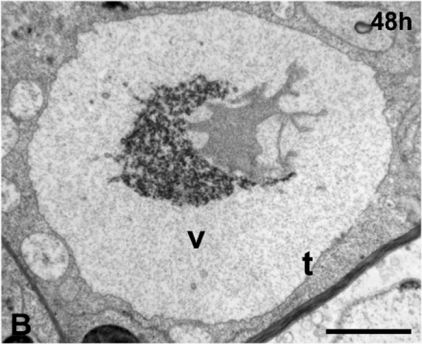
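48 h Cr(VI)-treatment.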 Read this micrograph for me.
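This electron micrograph shows a large vacuole filling most of the field, bounded by an intact, continuous tonoplast that separates it from the thin rim of surrounding cytoplasm. The vacuole is not empty: fine granular material is spread evenly through its whole volume, giving it a pale grey, finely speckled look. Near its centre sits a crescent-shaped accumulation of very dark, electron-dense material. Around the vacuole, smaller organelles and cell walls can be seen at the edges.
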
